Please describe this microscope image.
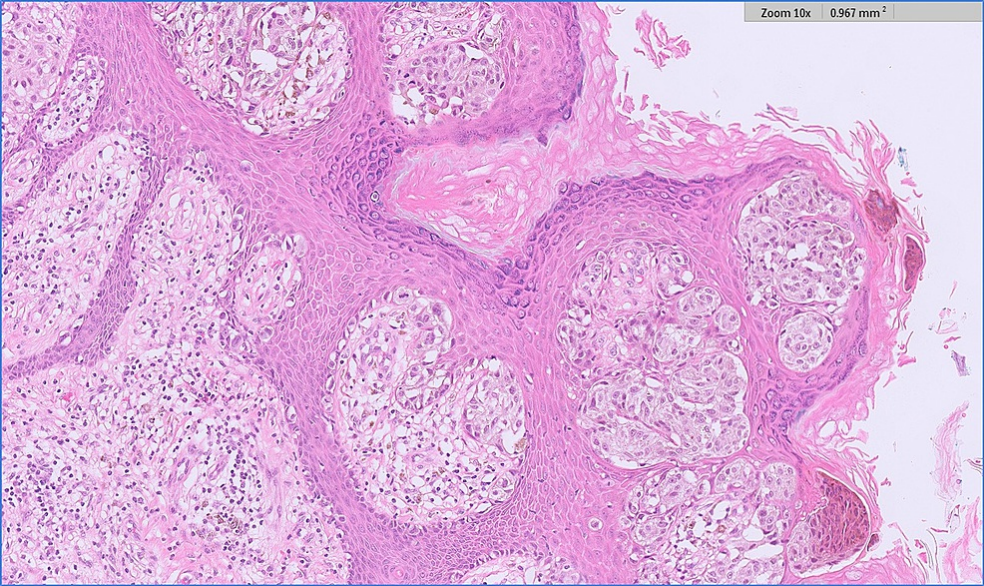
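This is skin with its squamous epidermis invaded by many rounded nests of large, atypical melanocytes, mostly at the junction with the dermis. On the right side, several nests sit high in the epidermis close to the surface keratin, showing ascent of the tumour cells through the epithelium. Scattered brown pigment granules lie among the cells in some nests, and the dermis on the left holds more of the pale cells mixed with small dark inflammatory cells.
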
